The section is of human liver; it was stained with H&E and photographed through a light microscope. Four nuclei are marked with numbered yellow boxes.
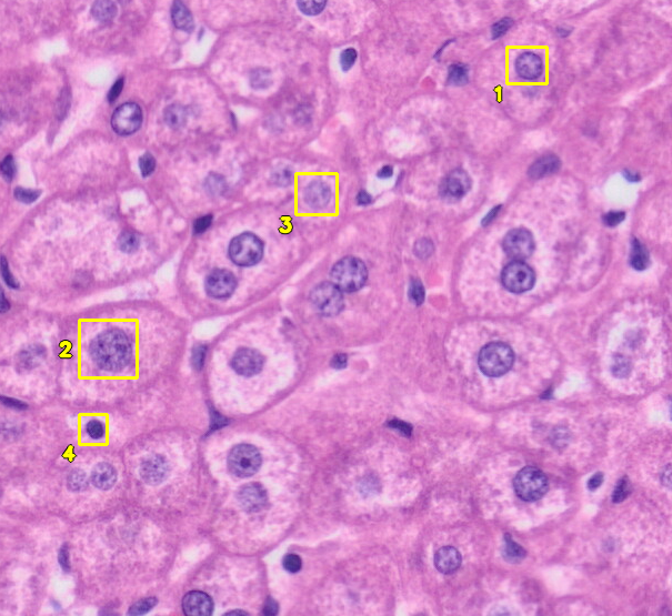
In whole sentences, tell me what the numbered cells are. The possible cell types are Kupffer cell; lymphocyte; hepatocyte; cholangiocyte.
Cell 1 is a hepatocyte, cell 2 is a hepatocyte, cell 3 is a hepatocyte and cell 4 is a lymphocyte.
